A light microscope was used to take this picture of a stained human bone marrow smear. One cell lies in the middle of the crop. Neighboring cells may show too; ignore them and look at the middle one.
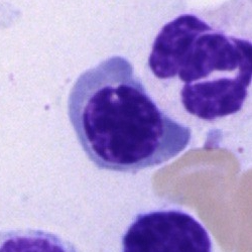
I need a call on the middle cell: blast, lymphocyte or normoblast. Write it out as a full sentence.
In this smear crop, the middle cell is a normoblast.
